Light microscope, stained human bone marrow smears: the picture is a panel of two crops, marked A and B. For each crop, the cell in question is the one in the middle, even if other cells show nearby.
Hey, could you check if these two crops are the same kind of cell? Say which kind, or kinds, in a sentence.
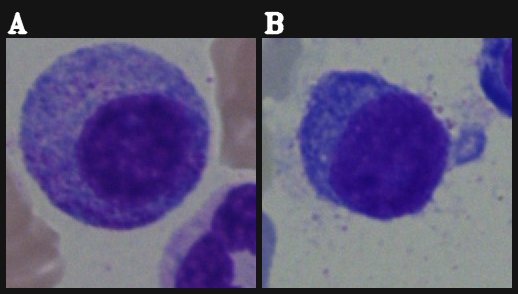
No, crop A contains a myelocyte, while crop B contains a plasma cell.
